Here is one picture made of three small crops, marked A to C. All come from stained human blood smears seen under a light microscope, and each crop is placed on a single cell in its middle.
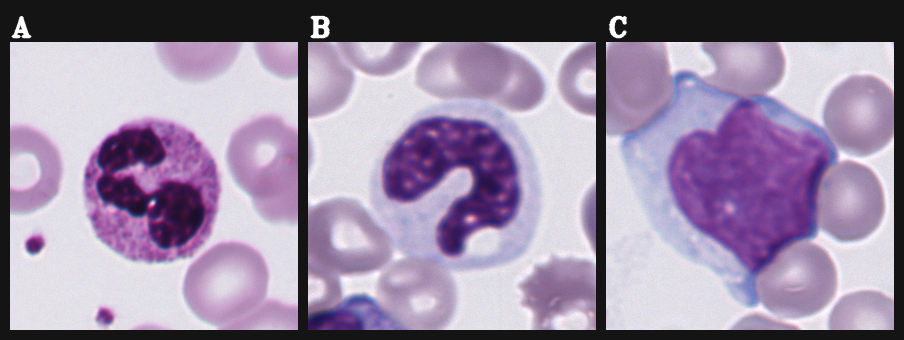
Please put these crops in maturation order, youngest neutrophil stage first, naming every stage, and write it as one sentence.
In order from least mature to most mature, the crops stand crop C (a myeloblast), crop B (a band neutrophil) and crop A (a segmented neutrophil).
